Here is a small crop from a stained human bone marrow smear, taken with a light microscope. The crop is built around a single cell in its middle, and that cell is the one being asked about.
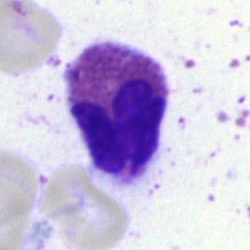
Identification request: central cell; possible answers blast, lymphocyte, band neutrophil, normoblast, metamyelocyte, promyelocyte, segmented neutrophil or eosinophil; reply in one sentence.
Of the cells in this crop, the central one is an eosinophil.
